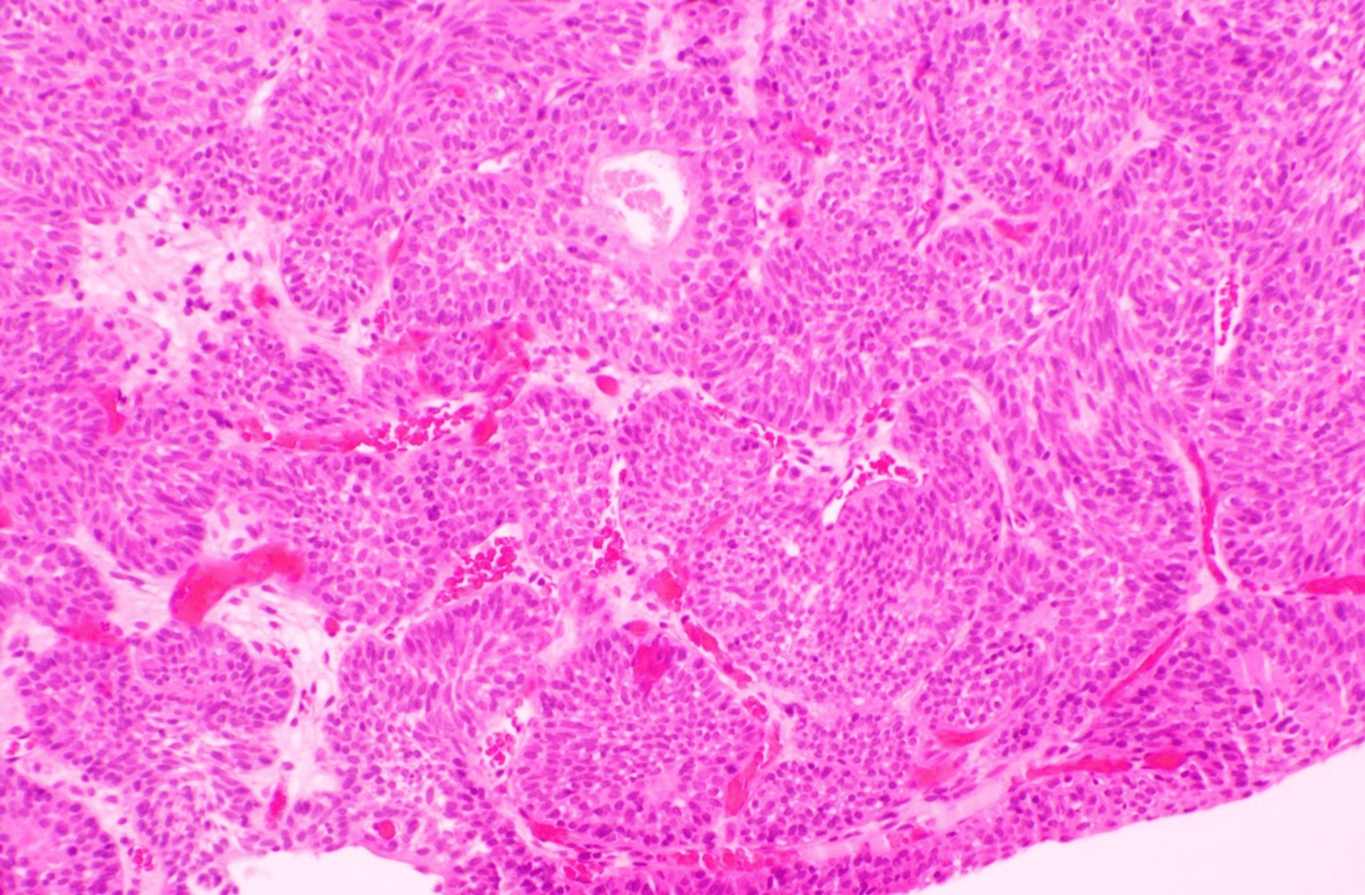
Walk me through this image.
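This is an inverted urothelial growth. Broad nests and cords of epithelial cells branch and join one another. Their outlines are smooth and rounded, and only thin strands of pale, loose stroma lie between them. The stroma carries many small, congested vessels packed with red cells. The cells are crowded but look alike. They have small oval to spindly nuclei and pink cytoplasm, and they stream in whorls inside the nests. At the edges of the nests they line up in a palisade. No papillary fronds and no dense reactive stroma around the nests are seen. One small gland-like space with pale contents lies near the top.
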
